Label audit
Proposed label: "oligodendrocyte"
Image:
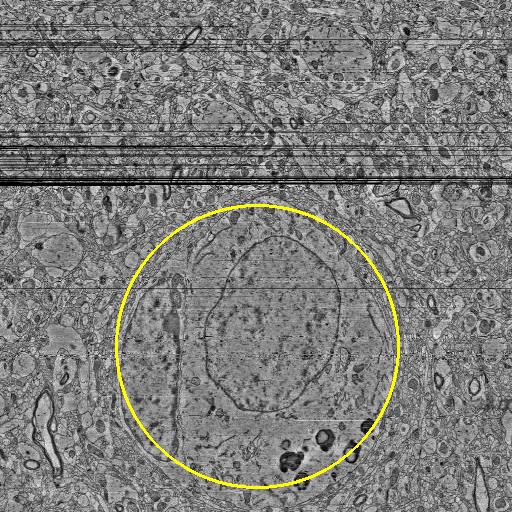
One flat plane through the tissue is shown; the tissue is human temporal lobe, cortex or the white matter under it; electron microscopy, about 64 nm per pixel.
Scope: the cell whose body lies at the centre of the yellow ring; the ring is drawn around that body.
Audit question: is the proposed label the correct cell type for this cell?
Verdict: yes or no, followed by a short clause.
No, this cell is of another type.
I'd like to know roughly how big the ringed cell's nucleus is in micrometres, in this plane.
The ringed cell's nucleus is about 12 micrometres long and 9 micrometres wide in this plane.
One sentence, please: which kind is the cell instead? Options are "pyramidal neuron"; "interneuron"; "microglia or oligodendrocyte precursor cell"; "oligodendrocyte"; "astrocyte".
Instead, the ring surrounds a pyramidal neuron in this picture.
